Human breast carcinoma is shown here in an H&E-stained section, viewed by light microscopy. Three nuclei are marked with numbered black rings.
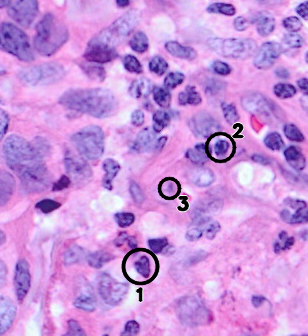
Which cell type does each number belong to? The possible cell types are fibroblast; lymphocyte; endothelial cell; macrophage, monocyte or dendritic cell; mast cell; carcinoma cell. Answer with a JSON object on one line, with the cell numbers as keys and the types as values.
{"1": "lymphocyte", "2": "lymphocyte", "3": "endothelial cell"}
